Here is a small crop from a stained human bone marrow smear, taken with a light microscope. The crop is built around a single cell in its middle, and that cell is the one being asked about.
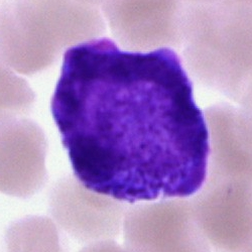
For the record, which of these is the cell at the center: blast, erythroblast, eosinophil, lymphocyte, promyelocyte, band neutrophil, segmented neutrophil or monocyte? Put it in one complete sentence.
Centrally within this crop lies a blast.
